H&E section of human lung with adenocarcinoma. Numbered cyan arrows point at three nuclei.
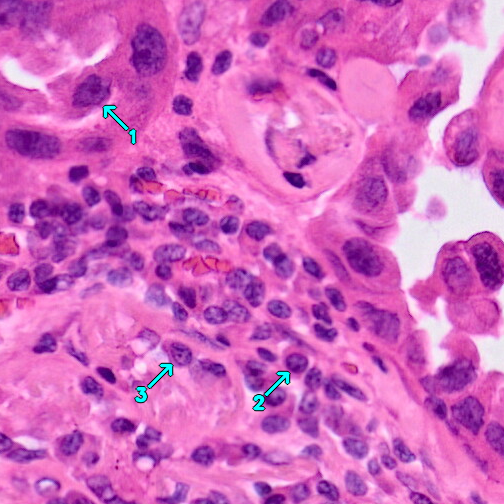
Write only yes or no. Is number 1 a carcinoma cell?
yes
